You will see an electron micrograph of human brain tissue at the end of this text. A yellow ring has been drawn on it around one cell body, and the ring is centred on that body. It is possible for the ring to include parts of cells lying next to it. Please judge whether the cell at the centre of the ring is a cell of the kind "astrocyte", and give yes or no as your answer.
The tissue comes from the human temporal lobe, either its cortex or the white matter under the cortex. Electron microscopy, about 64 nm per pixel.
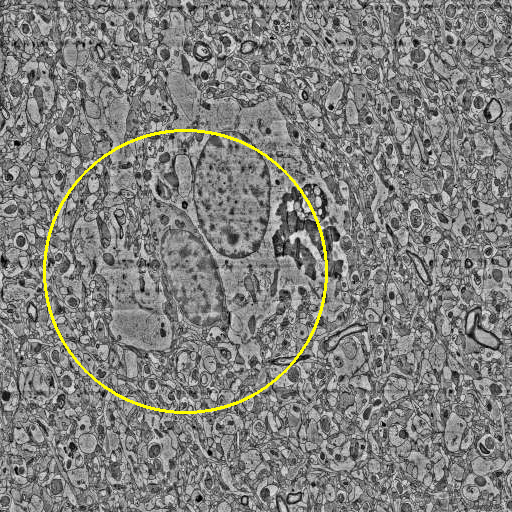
no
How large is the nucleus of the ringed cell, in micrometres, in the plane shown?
The nucleus has a long axis of about 7 micrometres and a short axis of about 4 micrometres in this plane.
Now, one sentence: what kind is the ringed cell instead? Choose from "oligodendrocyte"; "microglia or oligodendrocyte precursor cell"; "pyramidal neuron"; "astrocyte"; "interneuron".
The correct answer is that the cell is an oligodendrocyte.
